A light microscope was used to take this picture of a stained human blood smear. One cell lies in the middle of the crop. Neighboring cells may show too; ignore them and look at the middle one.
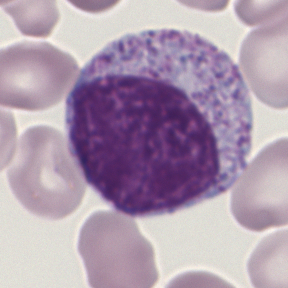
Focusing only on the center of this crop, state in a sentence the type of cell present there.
This crop is built around a myelocyte at its centre.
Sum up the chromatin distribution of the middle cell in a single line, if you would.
The chromatin remains finely textured, with no coarse clumps to speak of.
